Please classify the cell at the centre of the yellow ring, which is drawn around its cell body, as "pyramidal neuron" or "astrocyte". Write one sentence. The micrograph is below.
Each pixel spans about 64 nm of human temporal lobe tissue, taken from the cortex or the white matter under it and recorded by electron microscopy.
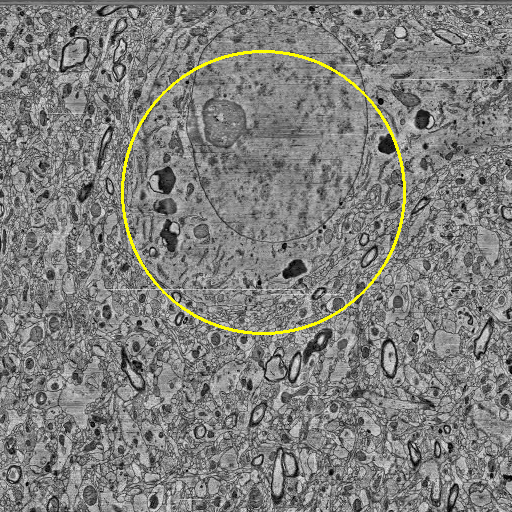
The cell at the ring's centre is classified as a pyramidal neuron.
